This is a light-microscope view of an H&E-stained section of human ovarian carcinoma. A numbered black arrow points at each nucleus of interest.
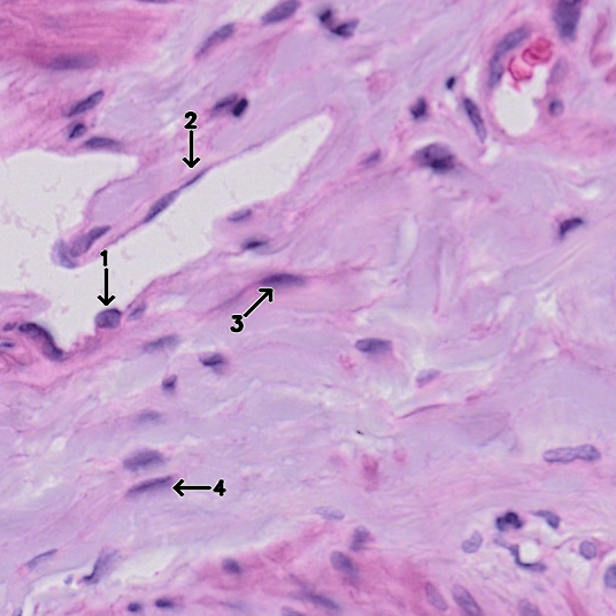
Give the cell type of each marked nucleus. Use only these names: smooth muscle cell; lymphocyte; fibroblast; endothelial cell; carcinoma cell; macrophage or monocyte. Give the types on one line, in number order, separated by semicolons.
endothelial cell; endothelial cell; endothelial cell; fibroblast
